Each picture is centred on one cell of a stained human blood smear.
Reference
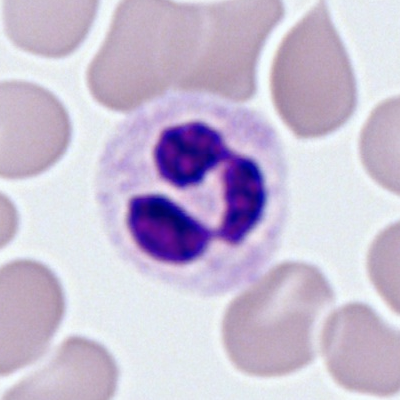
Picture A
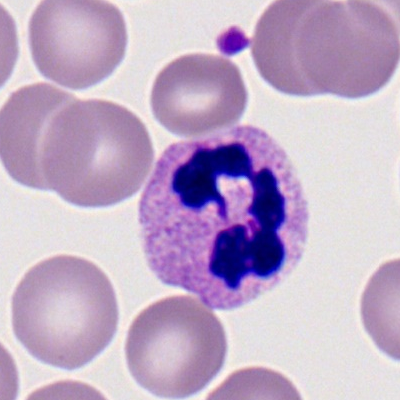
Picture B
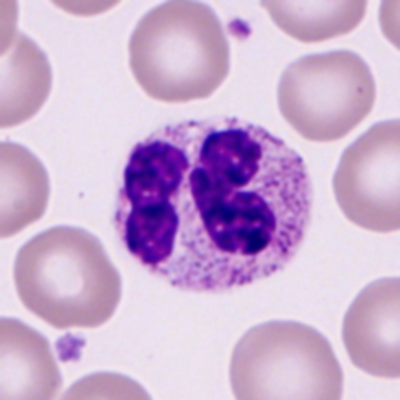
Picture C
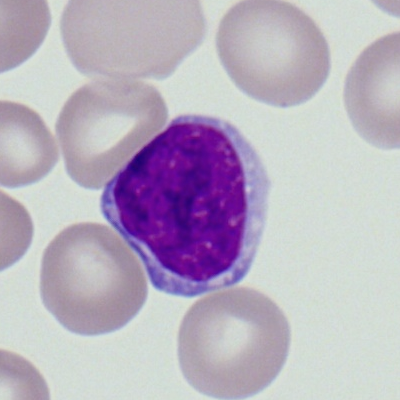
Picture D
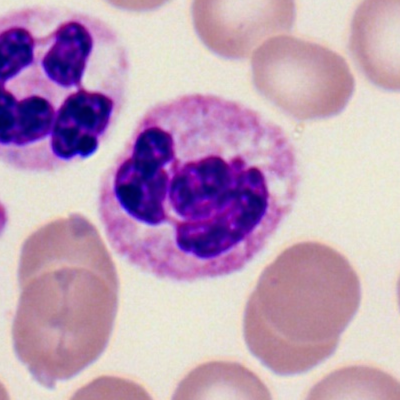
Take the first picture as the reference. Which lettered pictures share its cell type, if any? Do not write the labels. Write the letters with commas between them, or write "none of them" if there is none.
A, B, D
